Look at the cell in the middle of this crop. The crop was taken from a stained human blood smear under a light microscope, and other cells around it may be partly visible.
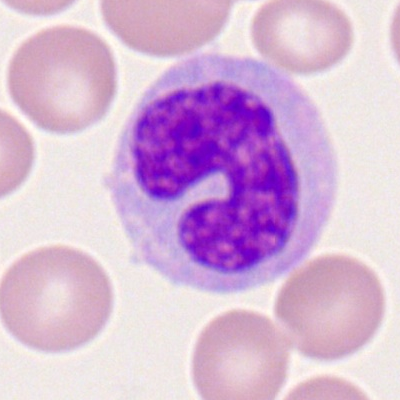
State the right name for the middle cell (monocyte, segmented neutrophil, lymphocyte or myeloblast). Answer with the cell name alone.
monocyte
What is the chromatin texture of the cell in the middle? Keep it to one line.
One feature to record is coarsely clumped chromatin.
